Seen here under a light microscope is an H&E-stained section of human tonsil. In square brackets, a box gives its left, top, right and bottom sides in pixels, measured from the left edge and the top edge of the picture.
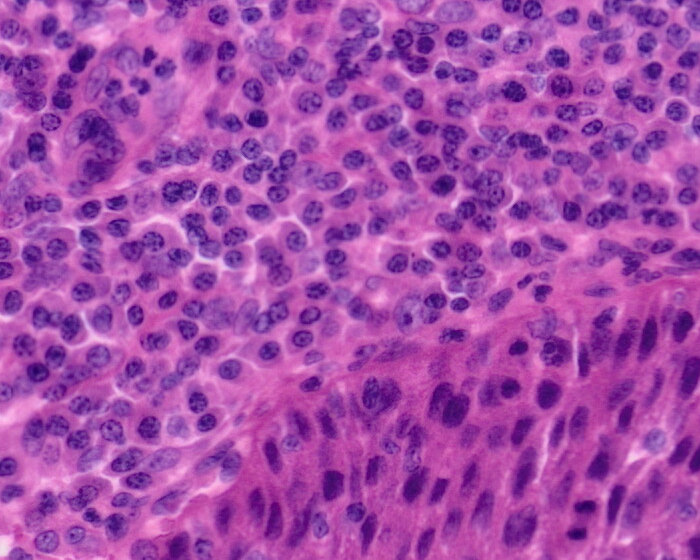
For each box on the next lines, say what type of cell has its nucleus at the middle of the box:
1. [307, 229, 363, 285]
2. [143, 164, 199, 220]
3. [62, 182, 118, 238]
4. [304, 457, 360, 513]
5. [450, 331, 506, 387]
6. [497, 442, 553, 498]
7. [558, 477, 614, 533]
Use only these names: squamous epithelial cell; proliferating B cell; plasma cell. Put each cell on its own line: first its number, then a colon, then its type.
1: plasma cell
2: plasma cell
3: plasma cell
4: squamous epithelial cell
5: squamous epithelial cell
6: squamous epithelial cell
7: squamous epithelial cell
